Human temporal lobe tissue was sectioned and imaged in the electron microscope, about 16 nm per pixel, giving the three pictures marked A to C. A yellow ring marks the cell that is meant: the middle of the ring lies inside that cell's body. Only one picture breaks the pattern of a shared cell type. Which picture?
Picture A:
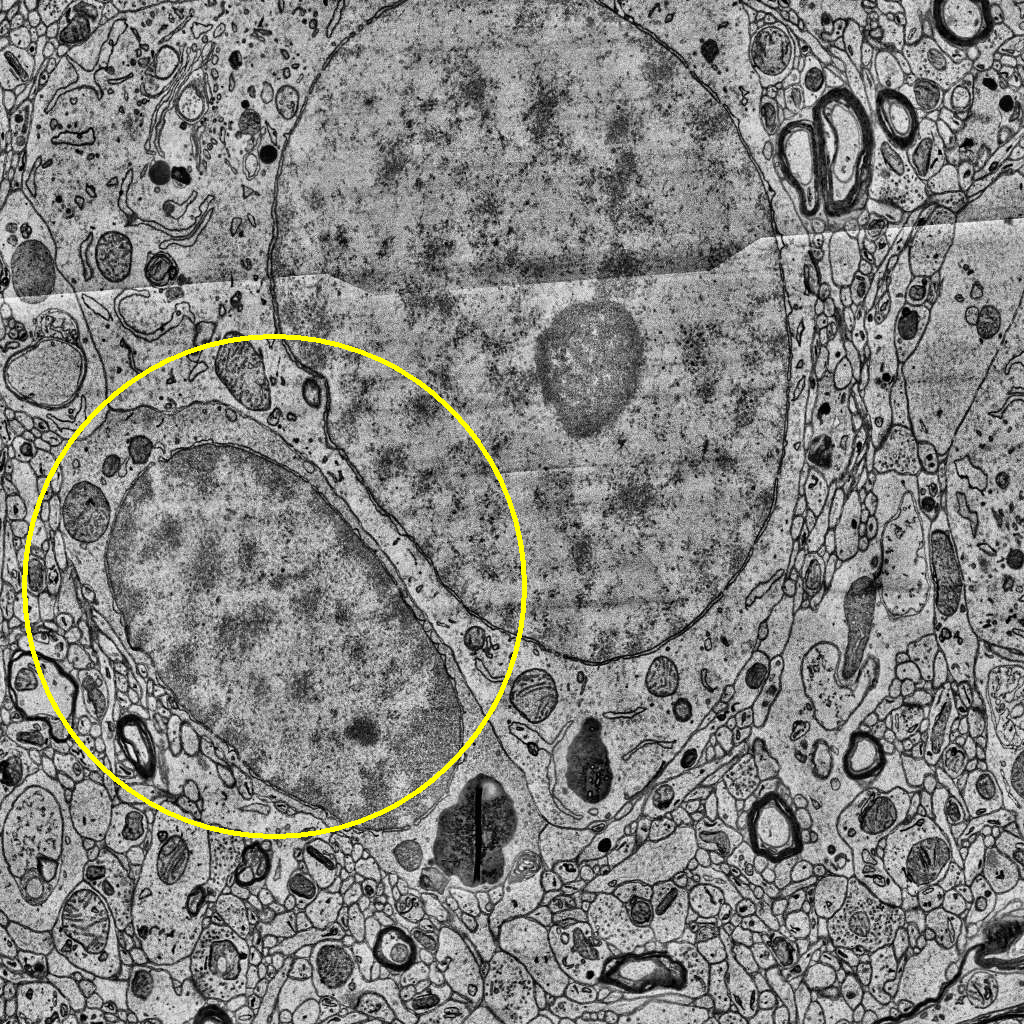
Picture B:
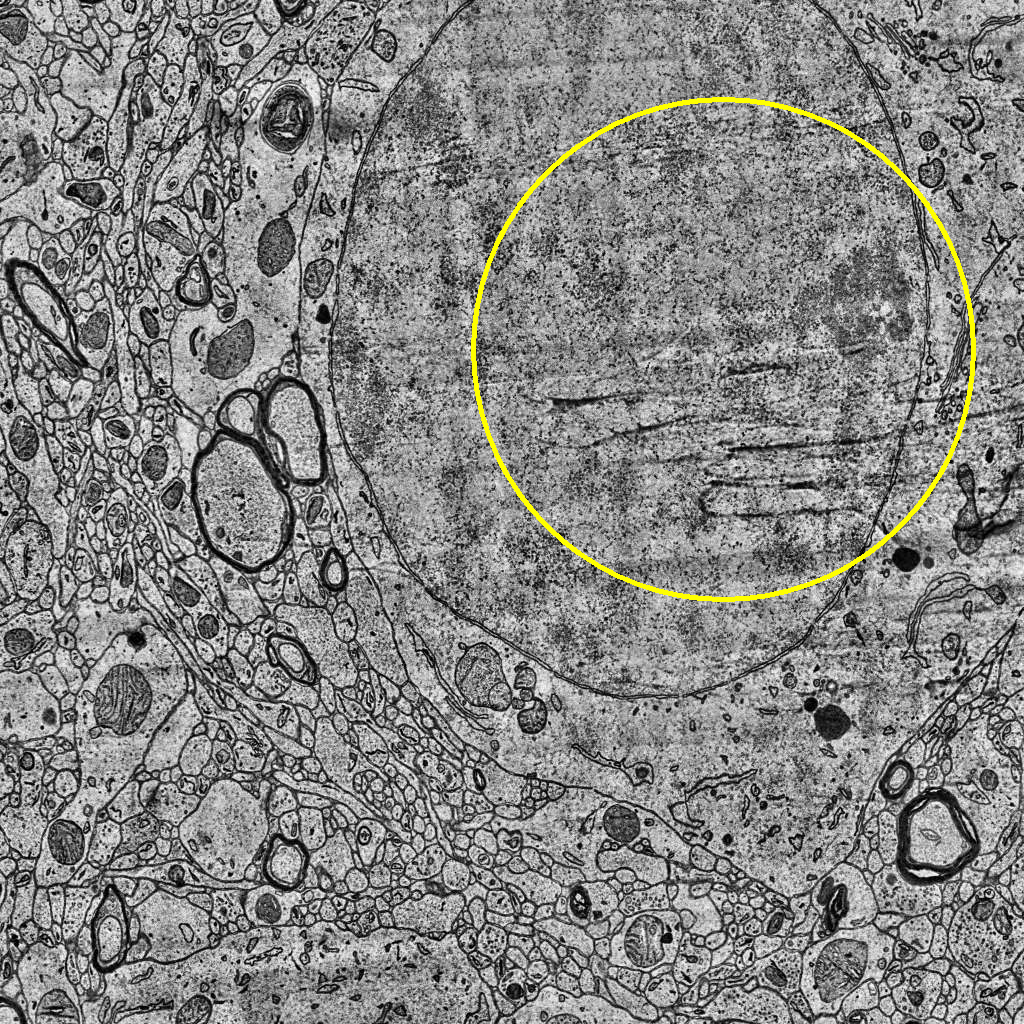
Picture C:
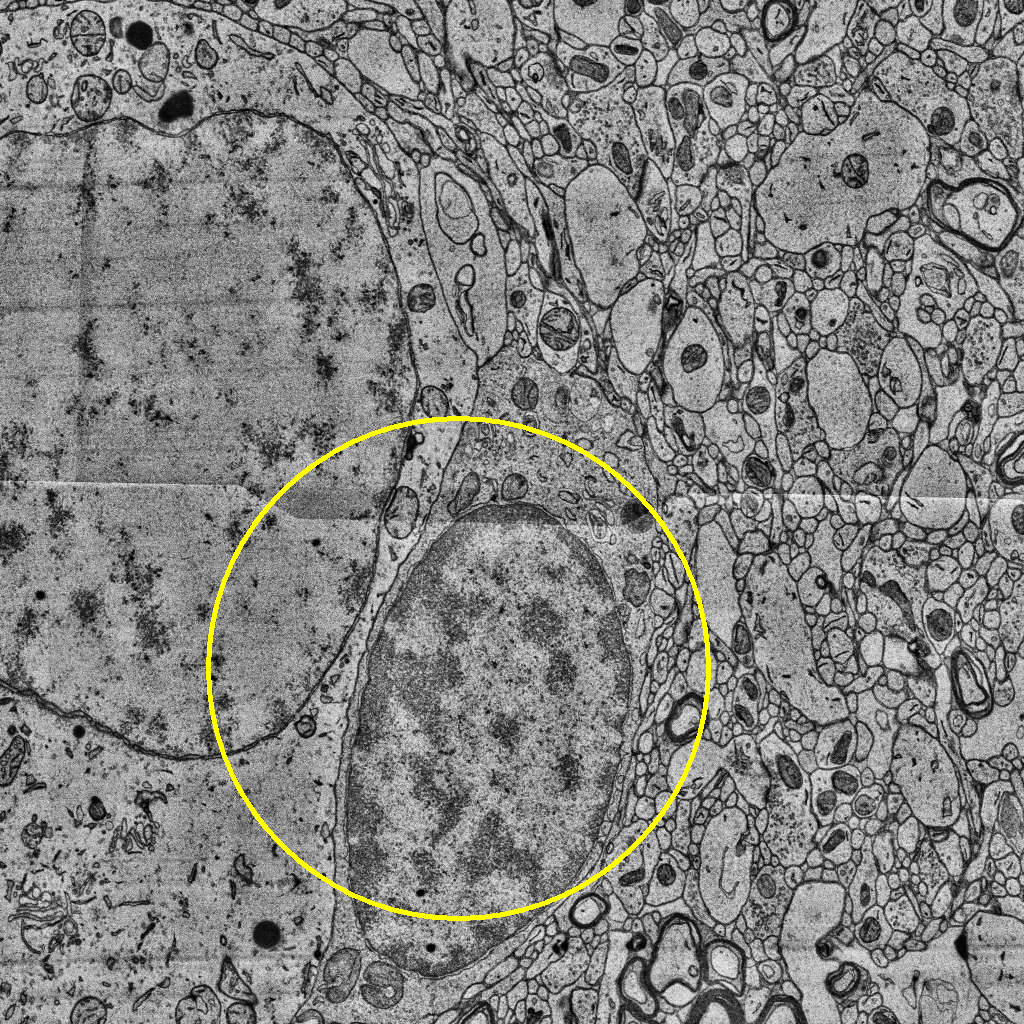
Unlike the rest, which show oligodendrocytes, picture B shows a pyramidal neuron.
